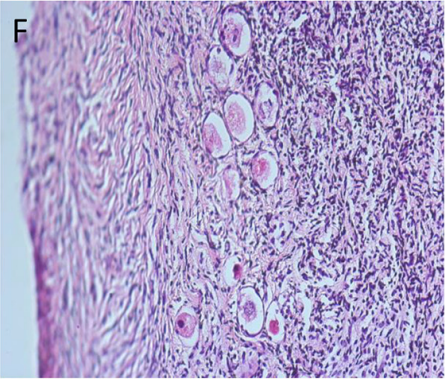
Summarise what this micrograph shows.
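Here the ovarian cortex holds a row of necrotic follicles among spindle-shaped stromal cells with dark purple nuclei. The oocytes are shrunken, deeply pink and pulled away from the follicle wall, leaving clear halos, and some contain small dark condensed clumps. Toward the surface the tissue is paler and more fibrous.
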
